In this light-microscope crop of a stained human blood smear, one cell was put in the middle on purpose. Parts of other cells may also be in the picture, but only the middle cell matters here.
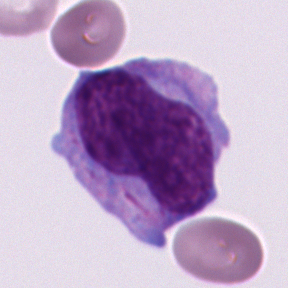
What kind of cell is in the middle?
atypical promyelocyte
